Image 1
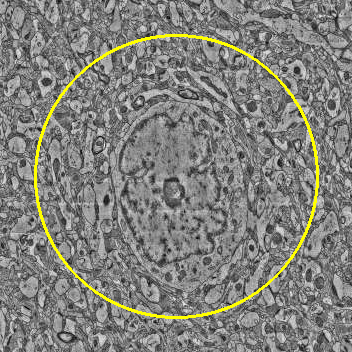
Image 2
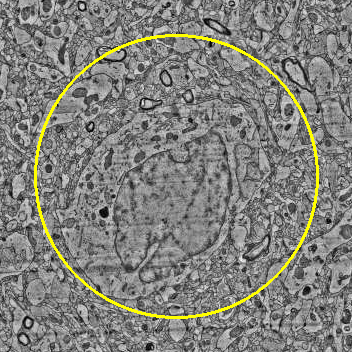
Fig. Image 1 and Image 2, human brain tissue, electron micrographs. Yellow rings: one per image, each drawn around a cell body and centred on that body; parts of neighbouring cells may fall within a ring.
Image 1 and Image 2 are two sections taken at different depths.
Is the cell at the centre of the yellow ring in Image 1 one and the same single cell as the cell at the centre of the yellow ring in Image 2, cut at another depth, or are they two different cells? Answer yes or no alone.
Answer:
no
